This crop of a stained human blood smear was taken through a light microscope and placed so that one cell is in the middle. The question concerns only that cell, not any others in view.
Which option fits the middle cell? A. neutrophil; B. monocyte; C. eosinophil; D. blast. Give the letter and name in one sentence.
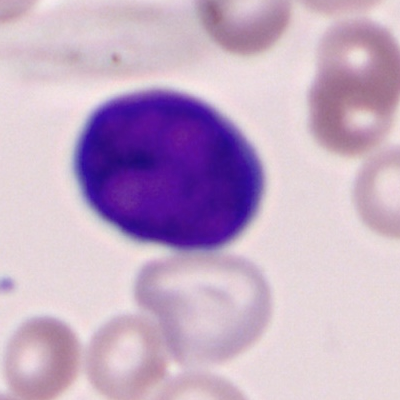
Option D is the correct one; it names the central cell as a blast.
